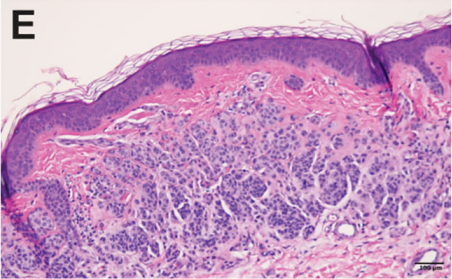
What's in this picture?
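Skin with an intradermal melanocytic nevus: nests of melanocytes fill the upper dermis beneath an intact epidermis. The nevus cells are small and uniform, with round, regular dark nuclei and scant cytoplasm, arranged in clusters and cords. Pink collagen strands run between the nests, and small blood vessels lie among them near the lower edge.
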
